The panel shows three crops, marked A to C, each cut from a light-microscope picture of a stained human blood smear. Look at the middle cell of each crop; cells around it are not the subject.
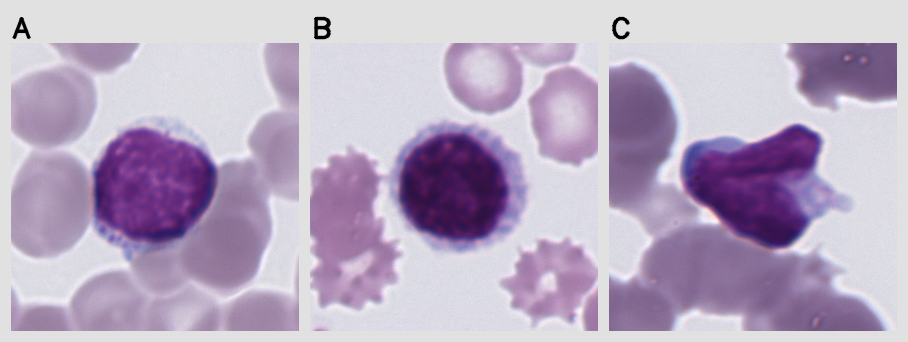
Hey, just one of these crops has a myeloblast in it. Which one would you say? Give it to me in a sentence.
In this set, crop C is the one showing a myeloblast.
